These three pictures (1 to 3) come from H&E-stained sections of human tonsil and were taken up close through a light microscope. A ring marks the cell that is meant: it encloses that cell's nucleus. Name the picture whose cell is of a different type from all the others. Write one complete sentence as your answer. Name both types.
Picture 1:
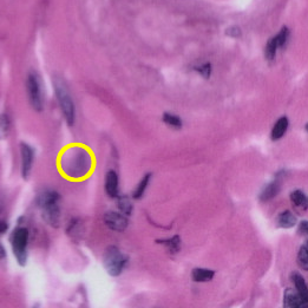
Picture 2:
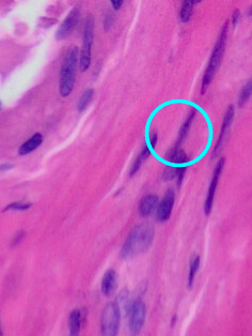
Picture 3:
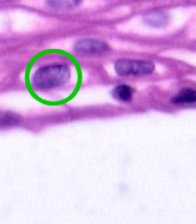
The different one is picture 3; it shows a squamous epithelial cell, whereas all the others show endothelial cells.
